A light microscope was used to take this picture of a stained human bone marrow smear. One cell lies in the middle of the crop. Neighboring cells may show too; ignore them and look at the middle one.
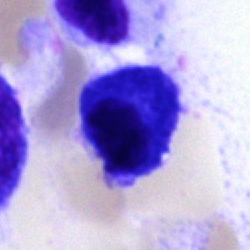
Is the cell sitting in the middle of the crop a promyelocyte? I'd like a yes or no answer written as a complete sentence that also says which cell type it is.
No, the cell positioned in the middle is a plasma cell, not a promyelocyte.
